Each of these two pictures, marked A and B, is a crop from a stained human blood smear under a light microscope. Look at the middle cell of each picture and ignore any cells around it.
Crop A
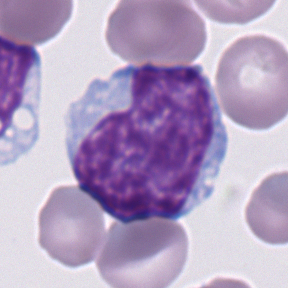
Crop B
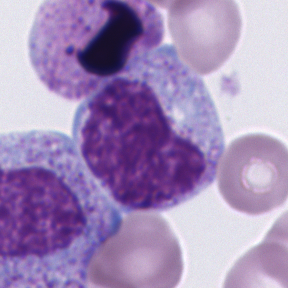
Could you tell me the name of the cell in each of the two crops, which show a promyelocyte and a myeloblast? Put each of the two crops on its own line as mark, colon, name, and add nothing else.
A: myeloblast
B: promyelocyte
